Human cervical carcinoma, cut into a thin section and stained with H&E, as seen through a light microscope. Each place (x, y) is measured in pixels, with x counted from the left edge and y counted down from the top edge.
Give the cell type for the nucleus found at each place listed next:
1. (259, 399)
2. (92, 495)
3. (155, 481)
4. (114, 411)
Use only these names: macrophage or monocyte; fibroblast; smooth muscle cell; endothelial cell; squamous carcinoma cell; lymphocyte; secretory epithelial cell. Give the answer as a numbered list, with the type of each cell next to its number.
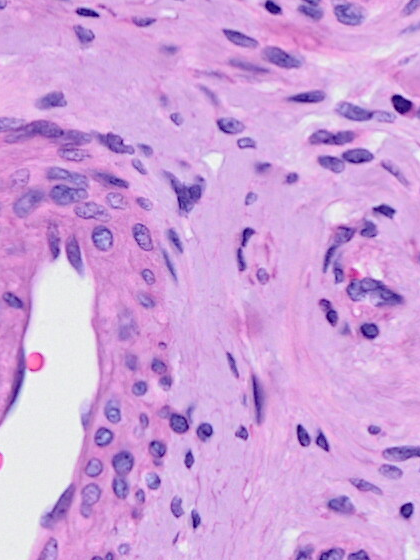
1. fibroblast
2. smooth muscle cell
3. smooth muscle cell
4. smooth muscle cell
